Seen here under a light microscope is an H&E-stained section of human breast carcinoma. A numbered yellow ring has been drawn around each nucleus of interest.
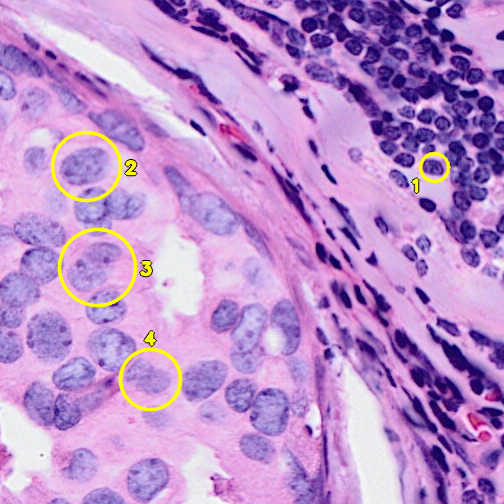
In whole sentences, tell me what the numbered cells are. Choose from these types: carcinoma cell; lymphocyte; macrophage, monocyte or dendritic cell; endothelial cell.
Cell 1 is a lymphocyte, cell 2 is a carcinoma cell, cell 3 is a carcinoma cell and cell 4 is a carcinoma cell.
